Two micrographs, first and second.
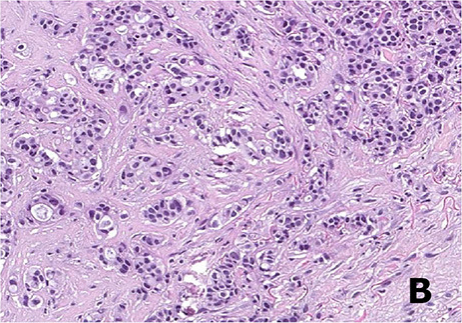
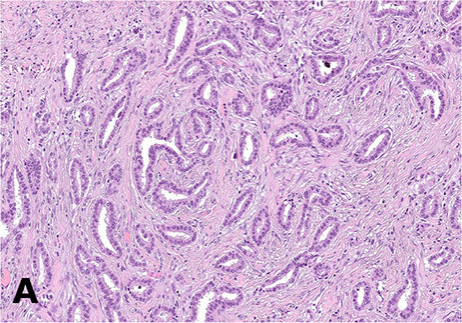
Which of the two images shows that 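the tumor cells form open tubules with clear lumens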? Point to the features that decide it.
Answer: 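The second image. First image: tumor cells form solid clusters and nests with only few small spaces. Second image: tumor cells line single-layered tubules with open central lumens.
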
